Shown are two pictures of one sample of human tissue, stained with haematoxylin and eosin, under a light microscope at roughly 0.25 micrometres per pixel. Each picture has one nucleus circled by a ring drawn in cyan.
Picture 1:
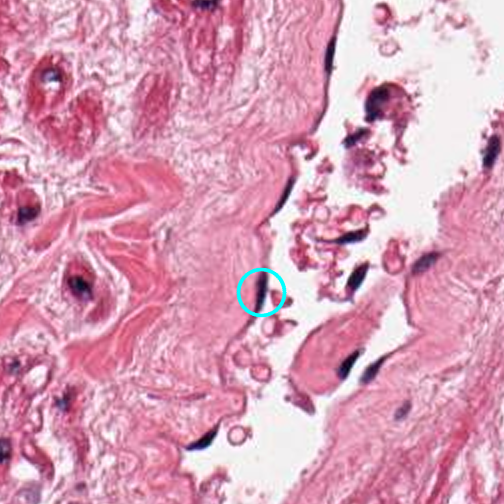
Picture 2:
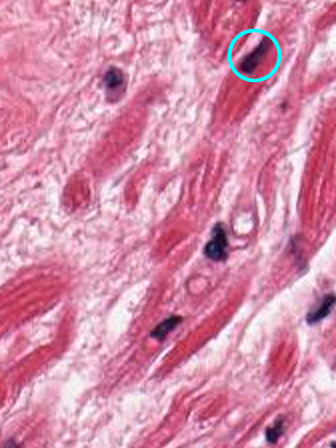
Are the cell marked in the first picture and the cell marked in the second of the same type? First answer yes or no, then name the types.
No, the first is an endothelial cell and the second a cardiomyocyte.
